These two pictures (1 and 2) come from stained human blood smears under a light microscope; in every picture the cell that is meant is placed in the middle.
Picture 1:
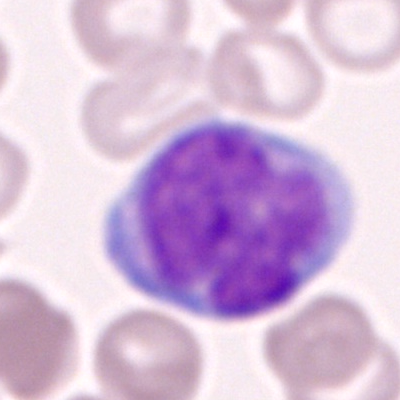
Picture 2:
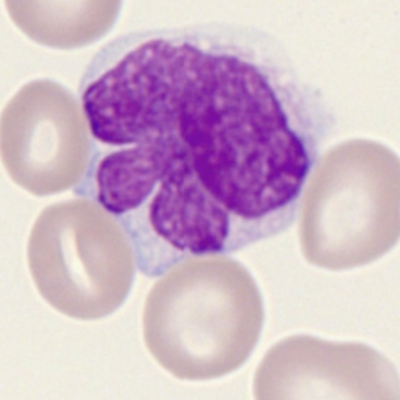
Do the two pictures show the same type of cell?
yes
